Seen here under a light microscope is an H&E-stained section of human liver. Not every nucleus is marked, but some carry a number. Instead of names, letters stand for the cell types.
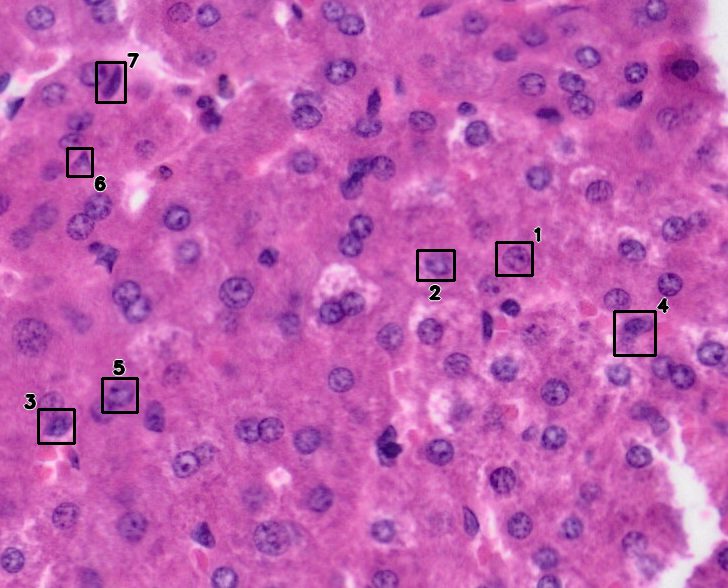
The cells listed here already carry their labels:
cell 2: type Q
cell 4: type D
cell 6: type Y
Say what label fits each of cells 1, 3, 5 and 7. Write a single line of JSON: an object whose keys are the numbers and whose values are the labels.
{"1": "type Q", "3": "type Y", "5": "type Q", "7": "type Y"}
